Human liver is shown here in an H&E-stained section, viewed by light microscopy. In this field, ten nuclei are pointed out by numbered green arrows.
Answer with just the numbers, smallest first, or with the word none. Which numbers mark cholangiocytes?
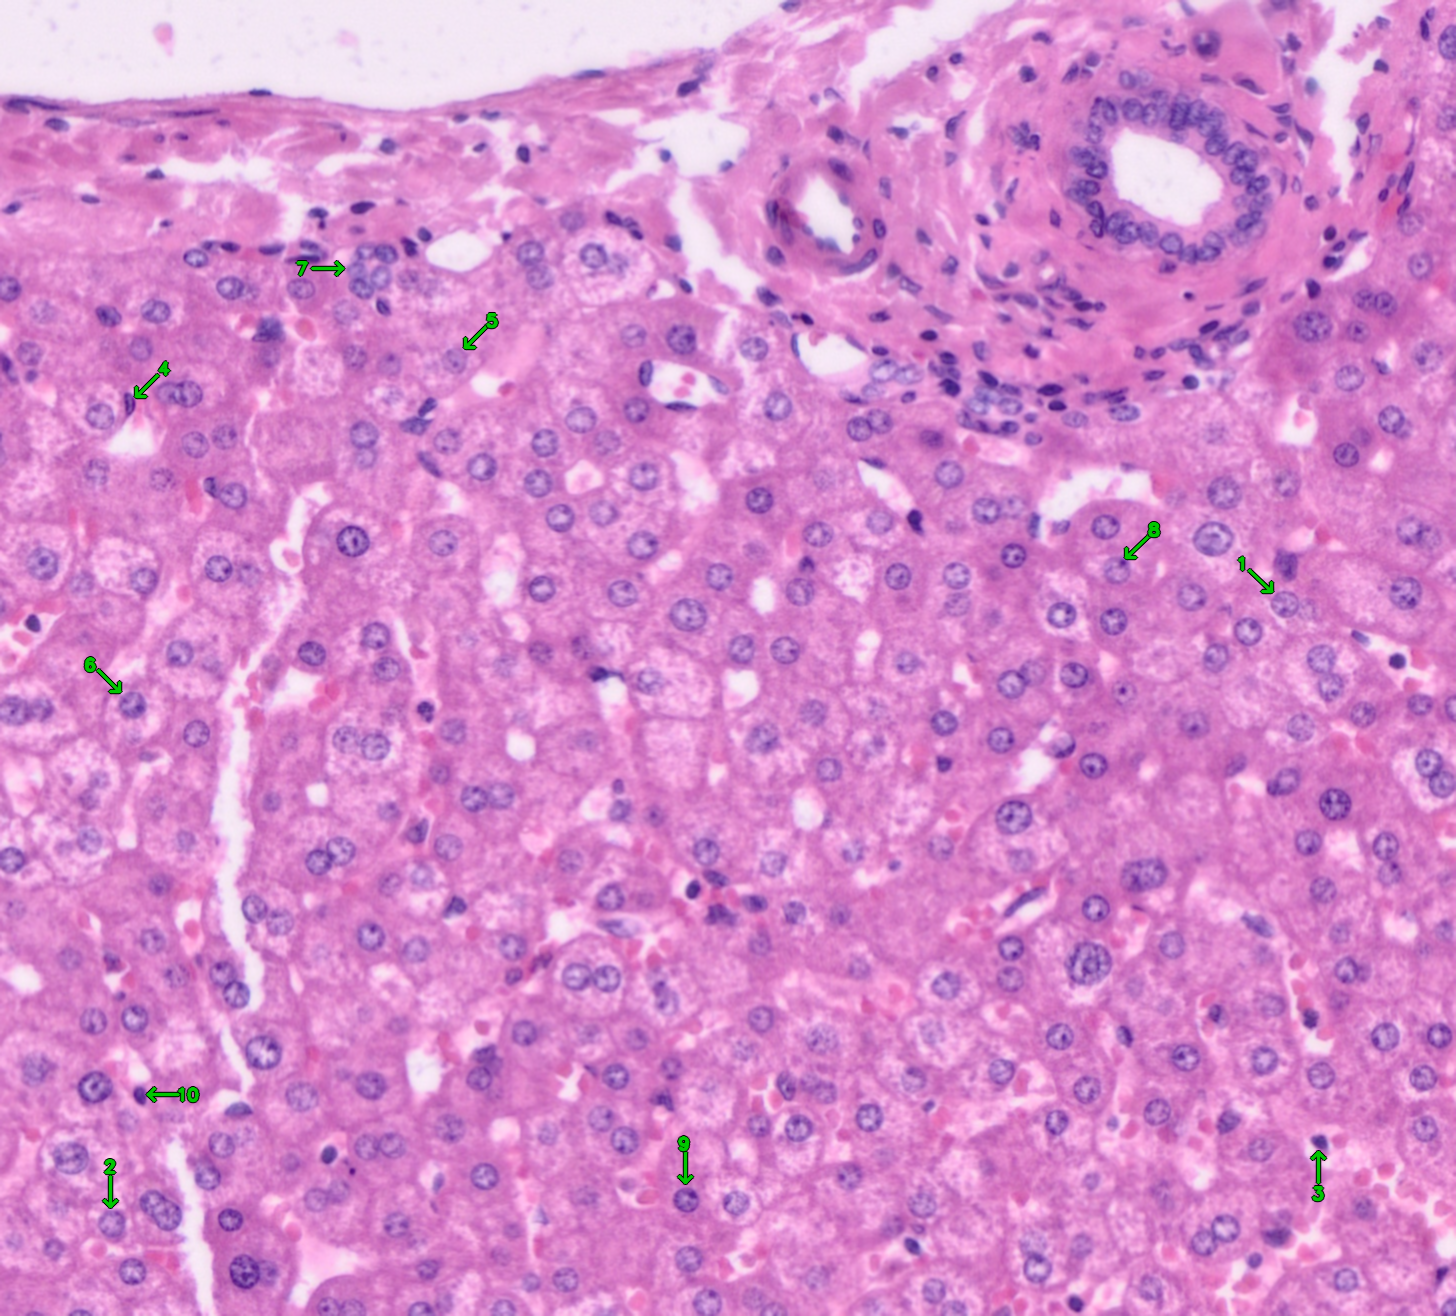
7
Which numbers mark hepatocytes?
1, 2, 5, 6, 8, 9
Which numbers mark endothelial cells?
none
